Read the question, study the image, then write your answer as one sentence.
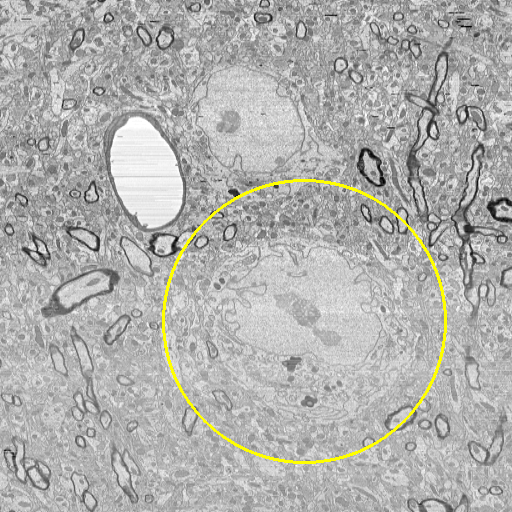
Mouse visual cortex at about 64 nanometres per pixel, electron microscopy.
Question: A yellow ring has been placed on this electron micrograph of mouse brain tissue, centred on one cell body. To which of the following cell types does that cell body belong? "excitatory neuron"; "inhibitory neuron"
That cell body belongs to an inhibitory neuron.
